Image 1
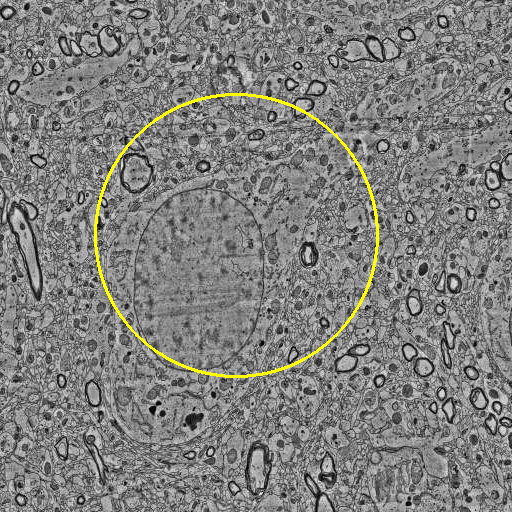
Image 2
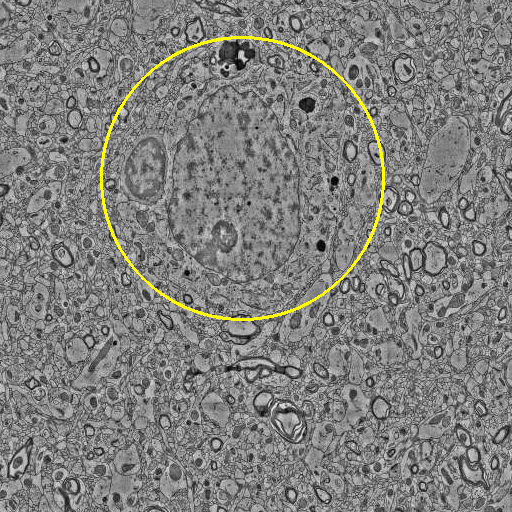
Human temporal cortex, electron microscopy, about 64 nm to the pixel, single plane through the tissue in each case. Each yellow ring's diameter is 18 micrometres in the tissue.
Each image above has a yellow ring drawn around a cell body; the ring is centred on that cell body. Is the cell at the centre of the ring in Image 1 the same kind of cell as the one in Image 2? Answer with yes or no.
no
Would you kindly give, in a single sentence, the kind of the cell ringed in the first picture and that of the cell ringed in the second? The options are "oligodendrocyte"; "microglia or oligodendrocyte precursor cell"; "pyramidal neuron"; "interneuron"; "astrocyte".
The second cell is an interneuron, and the first cell is a pyramidal neuron.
